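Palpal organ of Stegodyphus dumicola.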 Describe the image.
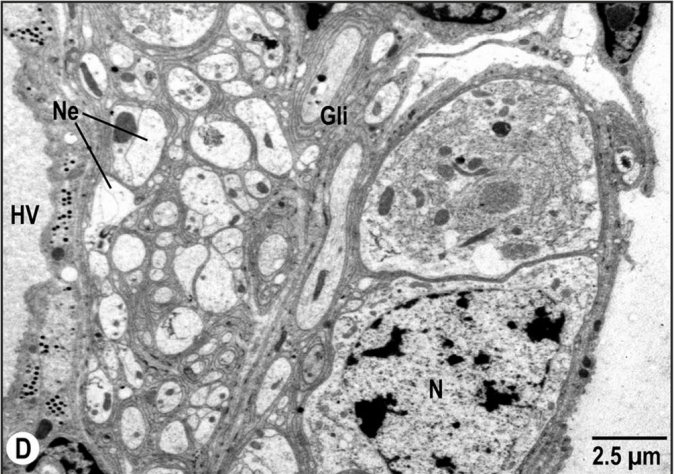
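Nerve tissue beside a haemolymph vessel, with a neuron cell body and a bundle of neurites. Along the left edge runs the wall of a haemolymph vessel studded with small dark granules.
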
